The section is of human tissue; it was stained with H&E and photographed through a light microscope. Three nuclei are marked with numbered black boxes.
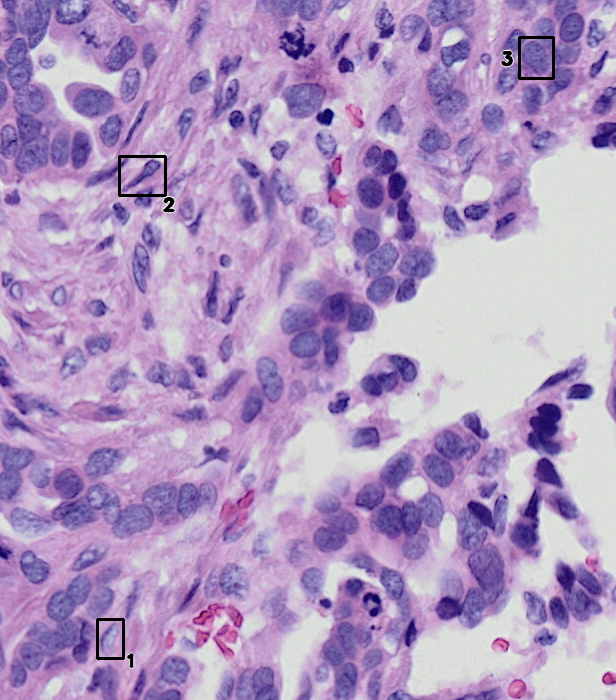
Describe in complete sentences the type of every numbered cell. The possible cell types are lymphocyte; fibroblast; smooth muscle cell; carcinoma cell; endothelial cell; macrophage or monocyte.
Cell 1 is a fibroblast, cell 2 is a fibroblast and cell 3 is a carcinoma cell.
